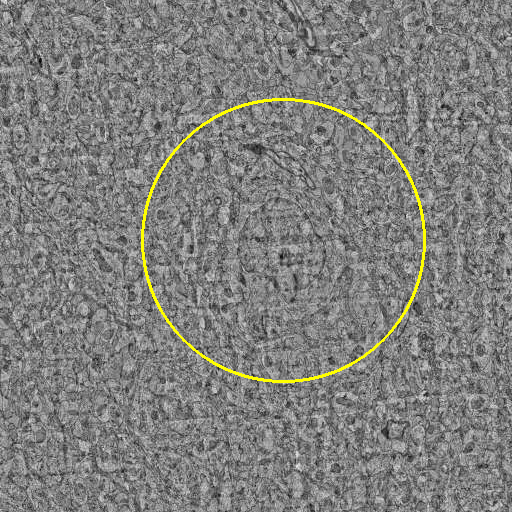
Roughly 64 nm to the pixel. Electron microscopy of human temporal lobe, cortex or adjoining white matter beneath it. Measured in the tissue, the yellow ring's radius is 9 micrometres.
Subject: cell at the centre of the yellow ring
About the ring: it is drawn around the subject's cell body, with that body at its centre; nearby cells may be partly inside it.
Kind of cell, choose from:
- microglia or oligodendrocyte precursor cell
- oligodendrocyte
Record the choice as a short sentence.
The subject cell is a microglial cell or oligodendrocyte precursor cell.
